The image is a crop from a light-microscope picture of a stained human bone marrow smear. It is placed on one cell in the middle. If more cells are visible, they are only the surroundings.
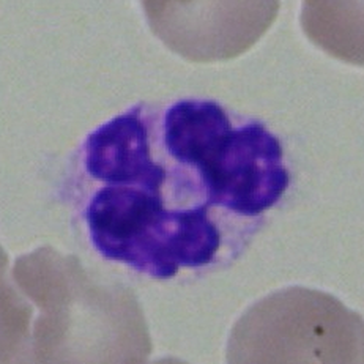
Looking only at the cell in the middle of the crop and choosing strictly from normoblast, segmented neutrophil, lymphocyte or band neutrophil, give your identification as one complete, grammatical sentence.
The central cell shown in this smear crop is a segmented neutrophil.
